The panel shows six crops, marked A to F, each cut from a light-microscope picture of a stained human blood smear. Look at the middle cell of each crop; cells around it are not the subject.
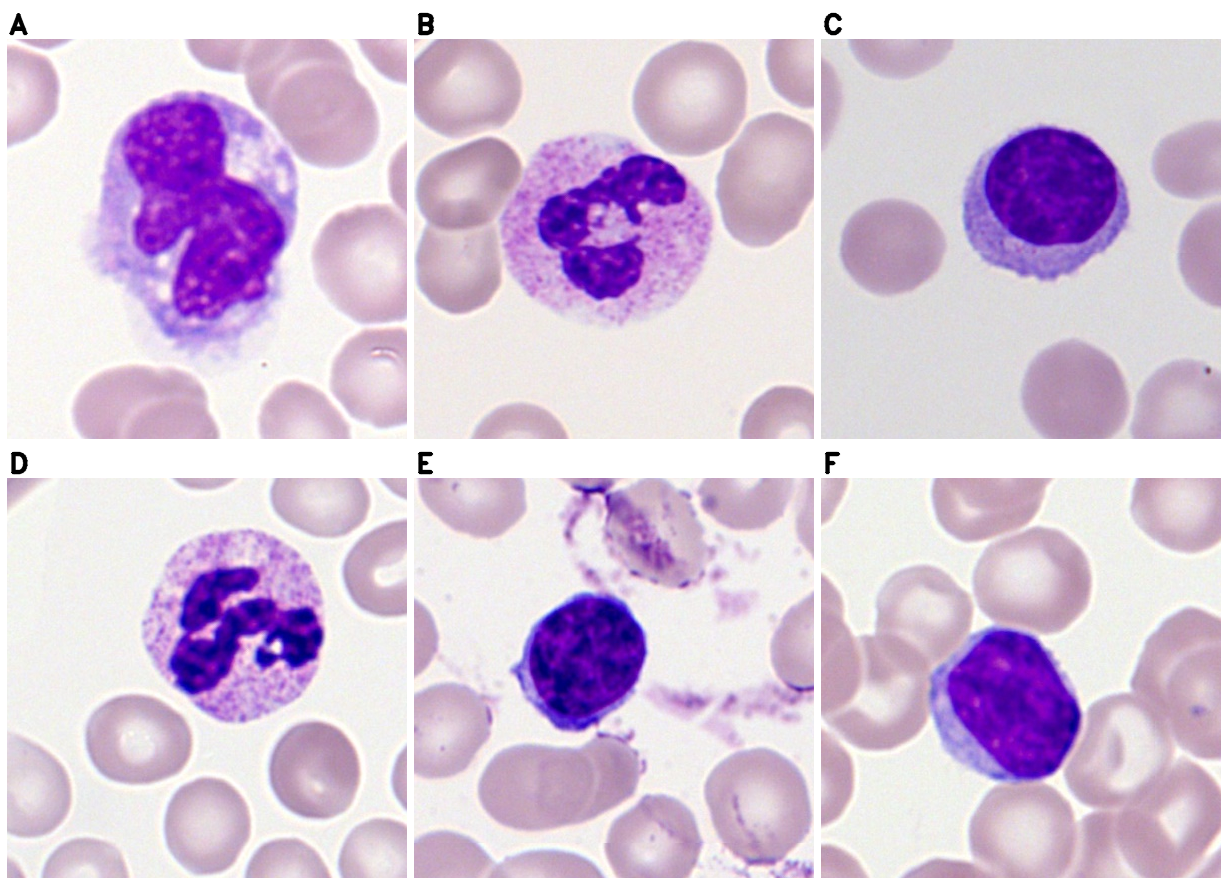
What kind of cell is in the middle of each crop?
A: monocyte
B: segmented neutrophil
C: lymphocyte
D: segmented neutrophil
E: lymphocyte
F: lymphocyte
